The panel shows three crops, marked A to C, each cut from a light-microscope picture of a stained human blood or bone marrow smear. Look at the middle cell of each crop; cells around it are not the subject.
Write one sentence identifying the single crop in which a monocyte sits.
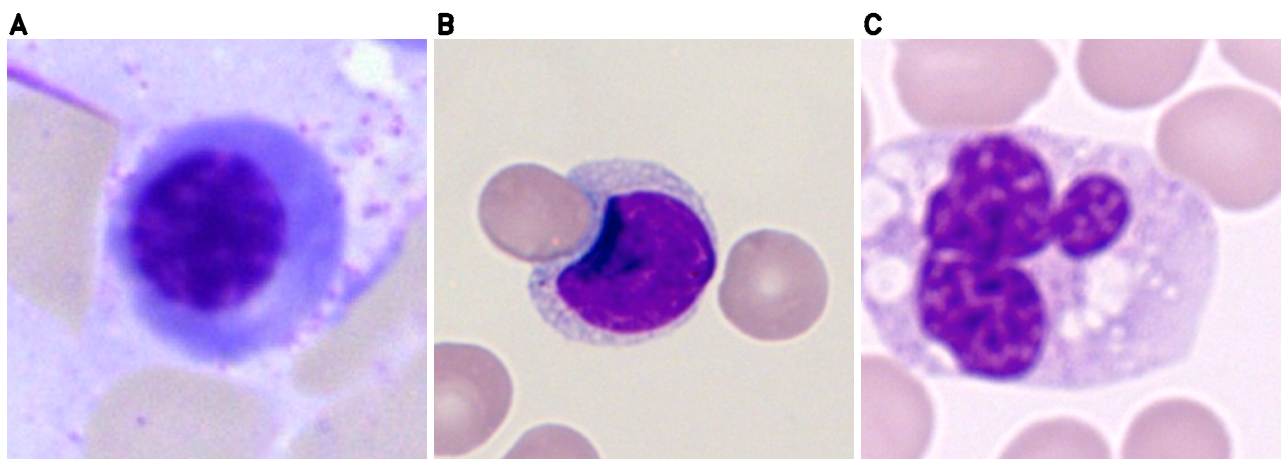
Within this set, crop C is the one with a monocyte at its center.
